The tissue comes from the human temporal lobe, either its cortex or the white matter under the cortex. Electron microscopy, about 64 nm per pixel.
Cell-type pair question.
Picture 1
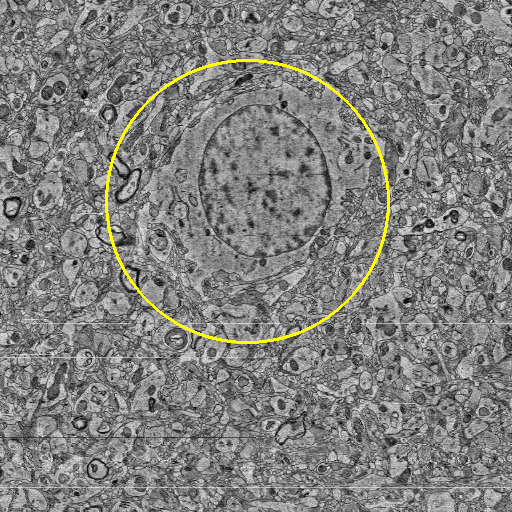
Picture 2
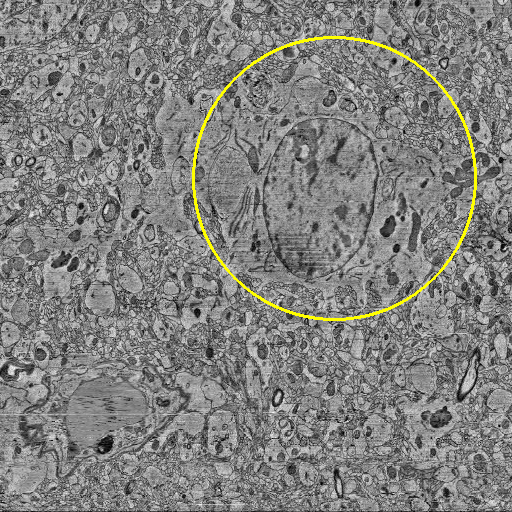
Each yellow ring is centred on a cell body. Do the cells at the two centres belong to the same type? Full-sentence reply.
Yes, the two cells belong to the same type.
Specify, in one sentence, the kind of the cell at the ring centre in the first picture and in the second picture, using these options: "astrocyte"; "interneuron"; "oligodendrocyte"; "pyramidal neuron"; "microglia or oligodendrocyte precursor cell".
The ring centre holds an astrocyte in each of the two pictures.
